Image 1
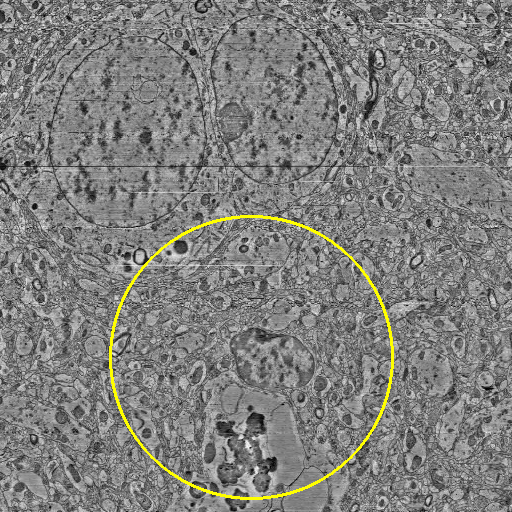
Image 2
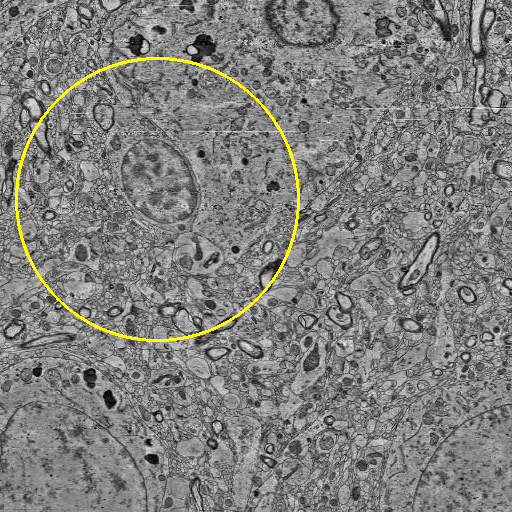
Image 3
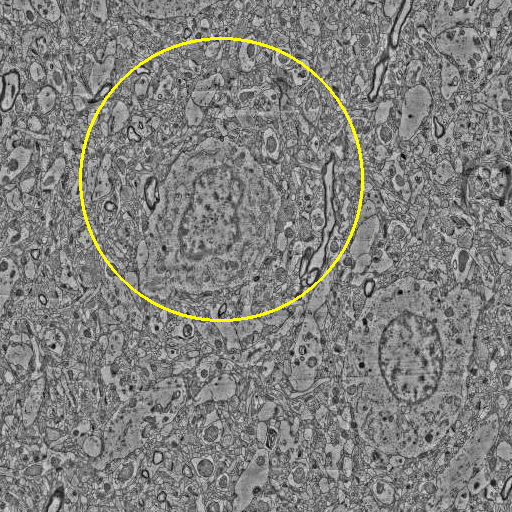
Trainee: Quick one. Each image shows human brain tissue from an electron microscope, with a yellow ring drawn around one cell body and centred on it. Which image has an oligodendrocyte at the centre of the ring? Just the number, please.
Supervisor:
2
